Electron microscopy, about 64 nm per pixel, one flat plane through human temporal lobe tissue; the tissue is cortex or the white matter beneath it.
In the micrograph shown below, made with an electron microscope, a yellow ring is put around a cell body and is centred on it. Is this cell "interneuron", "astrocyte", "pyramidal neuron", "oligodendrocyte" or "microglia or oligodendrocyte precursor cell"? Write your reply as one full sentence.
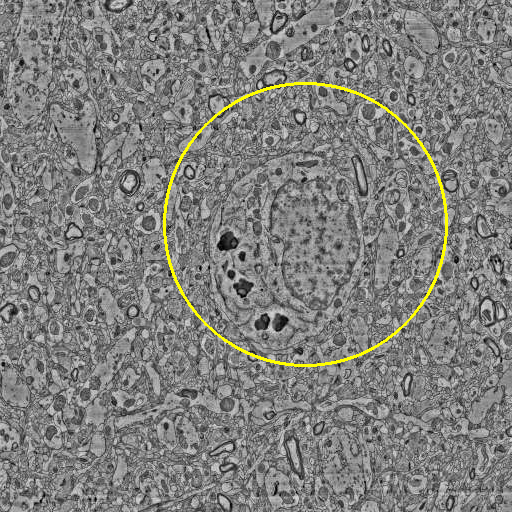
In the micrograph, an interneuron is the cell at the centre of the yellow ring.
